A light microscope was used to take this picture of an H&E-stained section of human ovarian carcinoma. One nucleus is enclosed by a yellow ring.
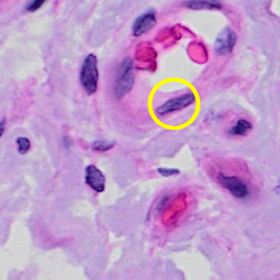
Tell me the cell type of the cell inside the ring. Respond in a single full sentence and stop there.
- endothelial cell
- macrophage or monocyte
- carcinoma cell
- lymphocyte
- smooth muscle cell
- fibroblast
In cellular terms, the cell inside the ring is an endothelial cell.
